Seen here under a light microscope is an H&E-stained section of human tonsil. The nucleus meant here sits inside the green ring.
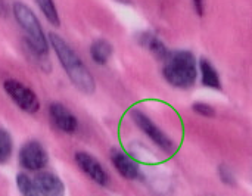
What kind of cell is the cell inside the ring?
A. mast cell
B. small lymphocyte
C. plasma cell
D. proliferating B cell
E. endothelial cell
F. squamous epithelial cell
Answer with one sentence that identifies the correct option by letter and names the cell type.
Under option E, the cell inside the ring is an endothelial cell, which is the correct identification.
